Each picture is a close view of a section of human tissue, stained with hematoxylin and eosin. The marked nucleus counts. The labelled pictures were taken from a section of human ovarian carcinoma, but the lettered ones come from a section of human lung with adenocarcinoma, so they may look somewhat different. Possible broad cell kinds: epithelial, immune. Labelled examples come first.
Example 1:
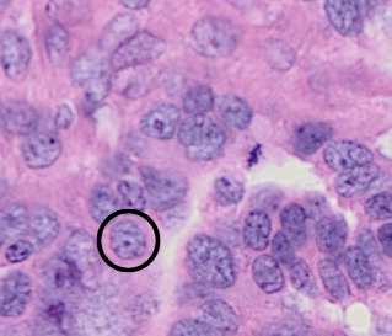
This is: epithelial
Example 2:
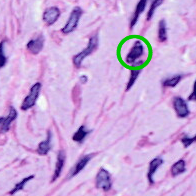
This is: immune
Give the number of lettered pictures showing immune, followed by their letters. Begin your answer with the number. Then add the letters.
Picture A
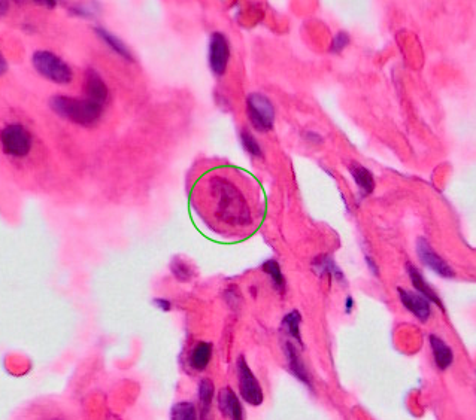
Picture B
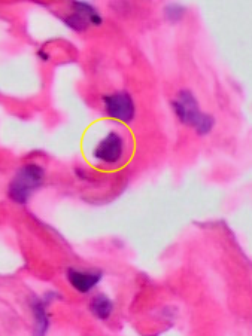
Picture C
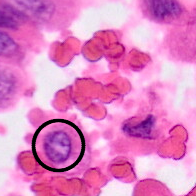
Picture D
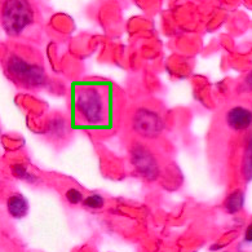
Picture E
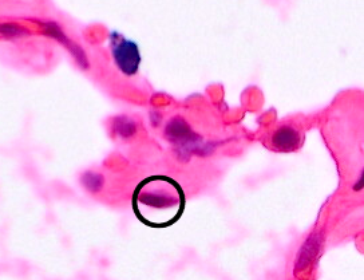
Count: 3 (A, C, D)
